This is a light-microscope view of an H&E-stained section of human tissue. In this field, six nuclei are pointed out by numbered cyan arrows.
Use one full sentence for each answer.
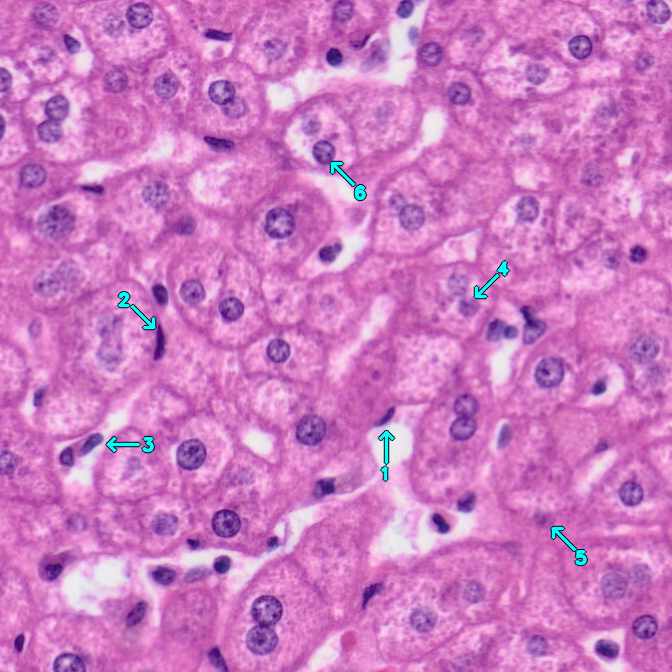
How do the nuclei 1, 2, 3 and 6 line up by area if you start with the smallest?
The order from the smallest nucleus to the largest is 2, 1, 3, 6.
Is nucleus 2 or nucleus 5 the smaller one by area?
With nucleus 5 about 2.5 times its size, nucleus 2 is the smaller of the two.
